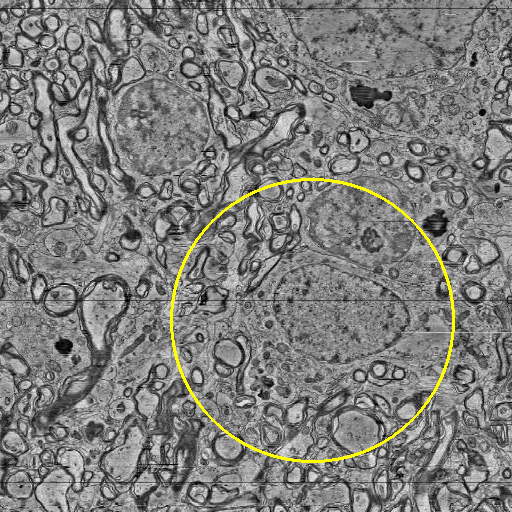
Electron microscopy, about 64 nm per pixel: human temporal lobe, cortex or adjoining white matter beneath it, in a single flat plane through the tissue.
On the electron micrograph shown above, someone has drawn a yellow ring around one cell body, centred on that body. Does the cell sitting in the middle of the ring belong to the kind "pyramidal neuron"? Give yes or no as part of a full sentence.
No, the cell located in the middle of the ring in the micrograph is of a different kind.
